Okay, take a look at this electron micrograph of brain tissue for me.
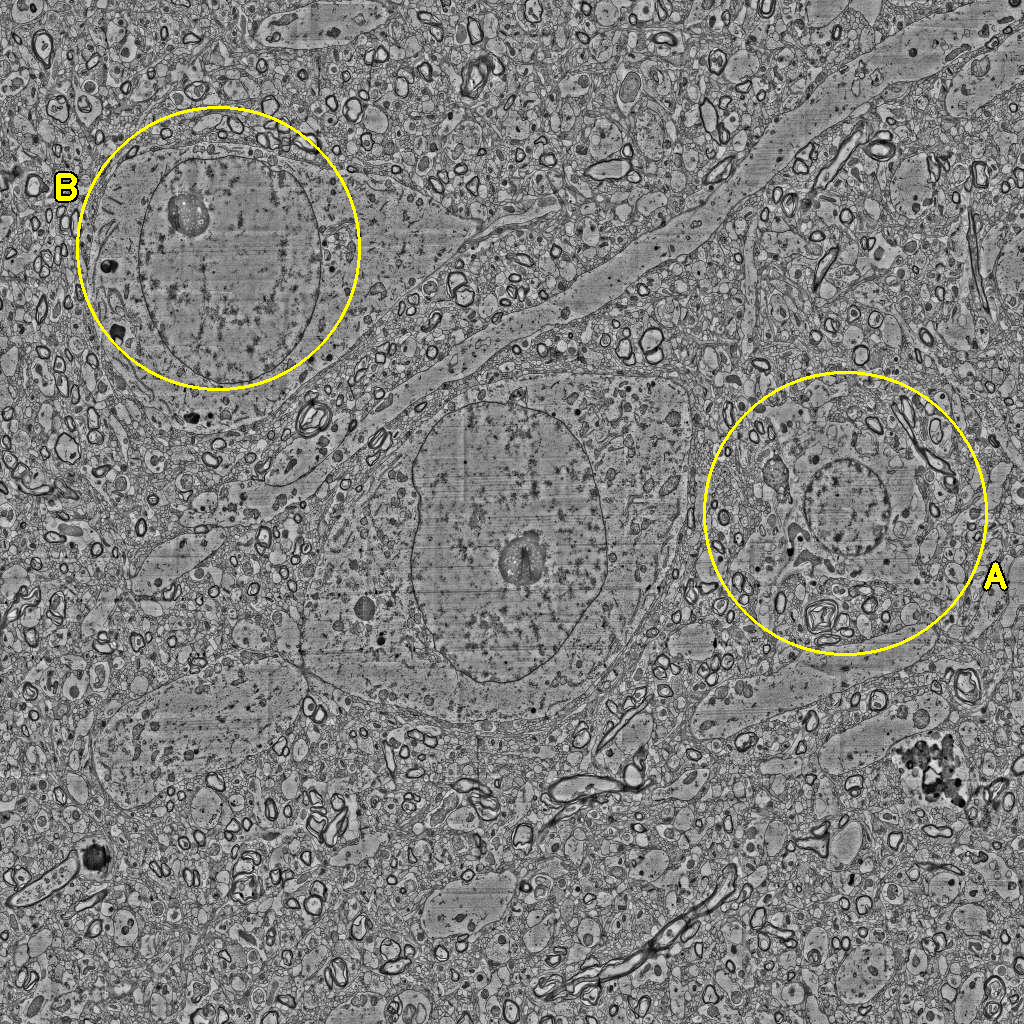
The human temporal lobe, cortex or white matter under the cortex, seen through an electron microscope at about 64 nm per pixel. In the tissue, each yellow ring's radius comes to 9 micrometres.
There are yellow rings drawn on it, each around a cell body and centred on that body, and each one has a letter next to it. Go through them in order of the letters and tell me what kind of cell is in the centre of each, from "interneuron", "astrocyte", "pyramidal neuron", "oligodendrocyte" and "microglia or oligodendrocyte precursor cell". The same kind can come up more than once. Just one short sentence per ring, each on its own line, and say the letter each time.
In the centre of ring A there's an astrocyte.
In the centre of ring B there's a pyramidal neuron.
